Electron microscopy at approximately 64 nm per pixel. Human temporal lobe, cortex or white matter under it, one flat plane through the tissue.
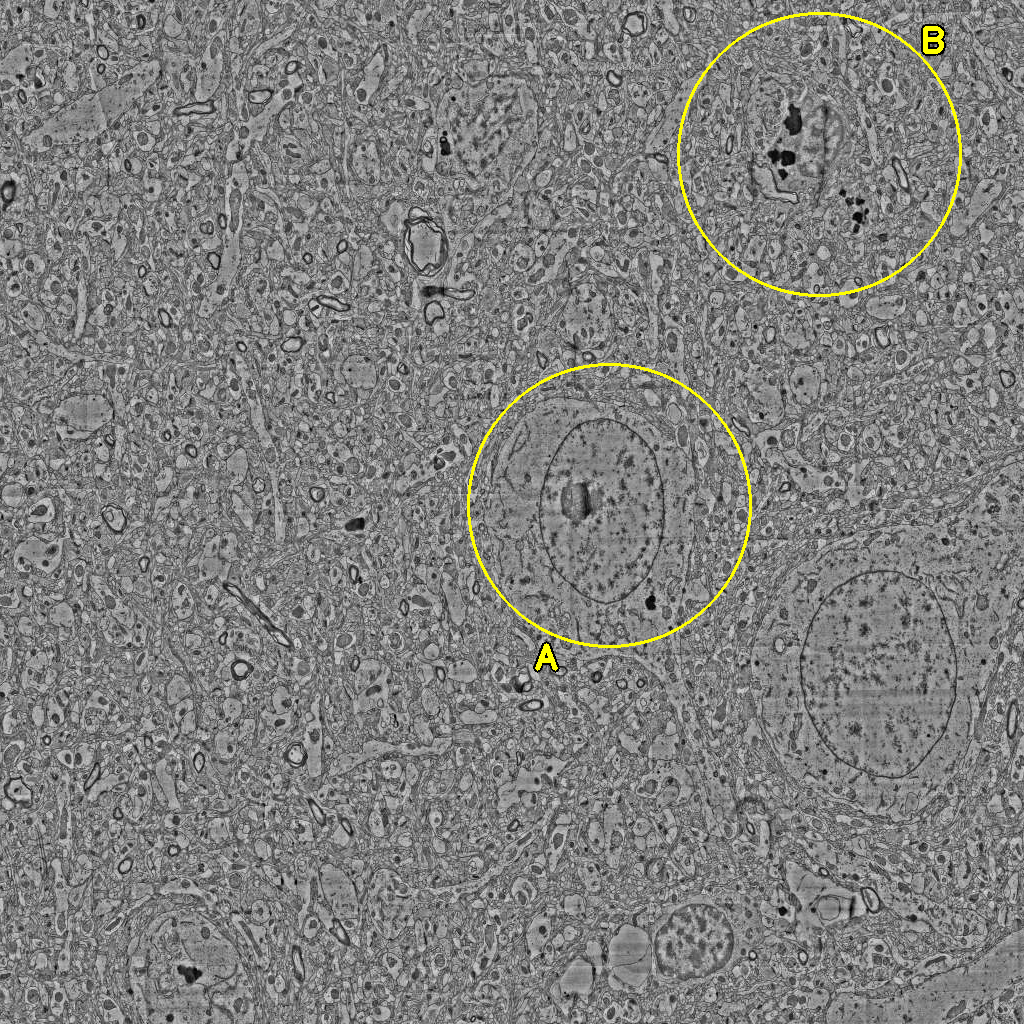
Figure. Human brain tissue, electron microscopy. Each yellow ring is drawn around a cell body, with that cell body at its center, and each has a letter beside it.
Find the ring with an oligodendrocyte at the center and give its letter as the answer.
B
